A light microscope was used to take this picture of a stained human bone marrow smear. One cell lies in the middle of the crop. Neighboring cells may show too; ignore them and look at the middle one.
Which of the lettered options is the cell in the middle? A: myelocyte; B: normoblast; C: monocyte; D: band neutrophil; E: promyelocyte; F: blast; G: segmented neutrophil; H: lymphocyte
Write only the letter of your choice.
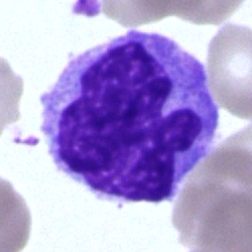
C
